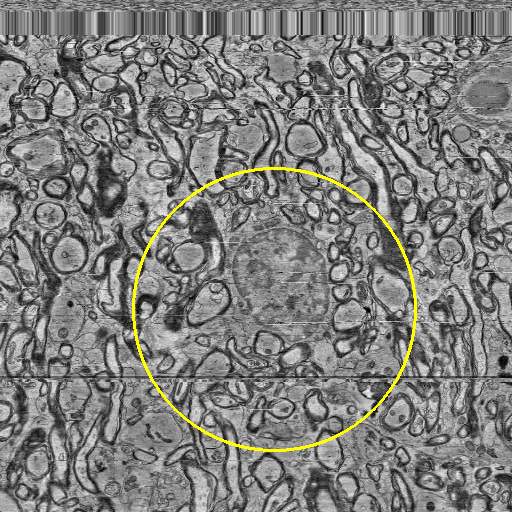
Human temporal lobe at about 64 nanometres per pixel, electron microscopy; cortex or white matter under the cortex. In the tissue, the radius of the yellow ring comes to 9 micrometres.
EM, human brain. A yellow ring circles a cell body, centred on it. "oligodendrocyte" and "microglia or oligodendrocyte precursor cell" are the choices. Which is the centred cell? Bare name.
oligodendrocyte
